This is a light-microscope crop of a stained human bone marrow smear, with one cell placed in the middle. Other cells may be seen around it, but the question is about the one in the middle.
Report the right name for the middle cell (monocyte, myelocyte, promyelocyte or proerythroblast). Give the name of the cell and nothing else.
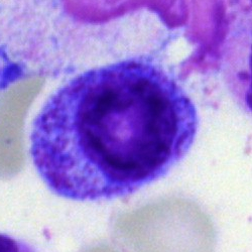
myelocyte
